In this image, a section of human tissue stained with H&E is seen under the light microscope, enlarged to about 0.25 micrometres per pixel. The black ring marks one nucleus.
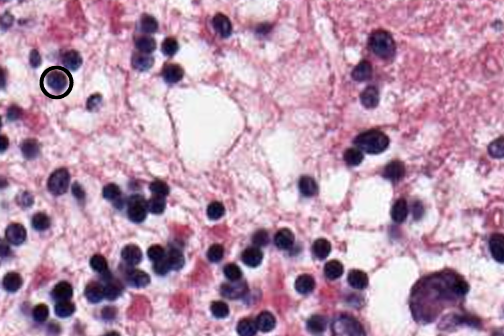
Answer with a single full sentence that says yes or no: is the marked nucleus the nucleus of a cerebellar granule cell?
Yes, the marked nucleus is to be read as that of a cerebellar granule cell.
